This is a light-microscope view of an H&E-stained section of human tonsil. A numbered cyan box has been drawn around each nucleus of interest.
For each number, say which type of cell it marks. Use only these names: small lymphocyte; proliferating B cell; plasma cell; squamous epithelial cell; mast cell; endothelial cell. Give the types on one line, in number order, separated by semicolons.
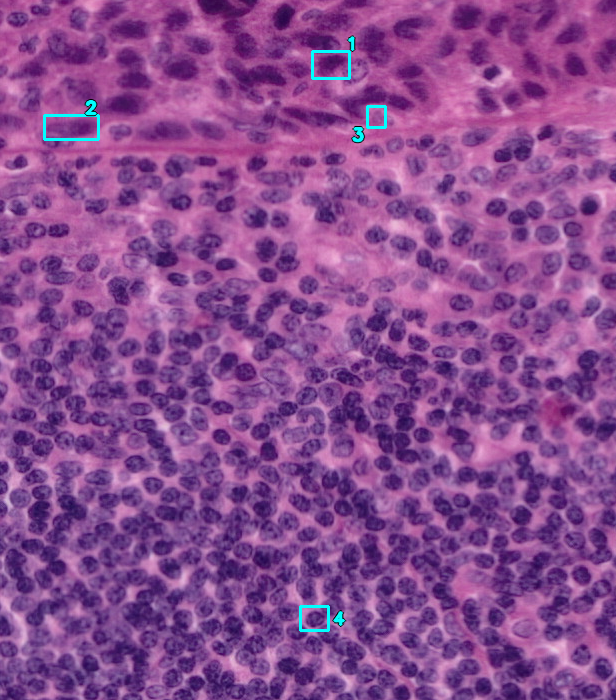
squamous epithelial cell; squamous epithelial cell; squamous epithelial cell; small lymphocyte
